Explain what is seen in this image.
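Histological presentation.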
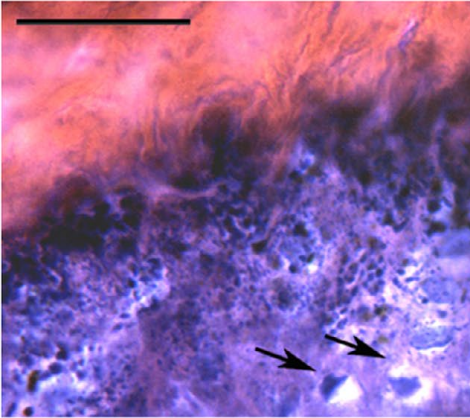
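This is a high-power view of the upper layers of the skin. A thick, compact pink layer lies across the top, and beneath it runs a band of cells packed with dark purple granules. Deeper down, the cells look pale and contain clear, rounded empty-looking spaces, which gives them a vacuolated appearance.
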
